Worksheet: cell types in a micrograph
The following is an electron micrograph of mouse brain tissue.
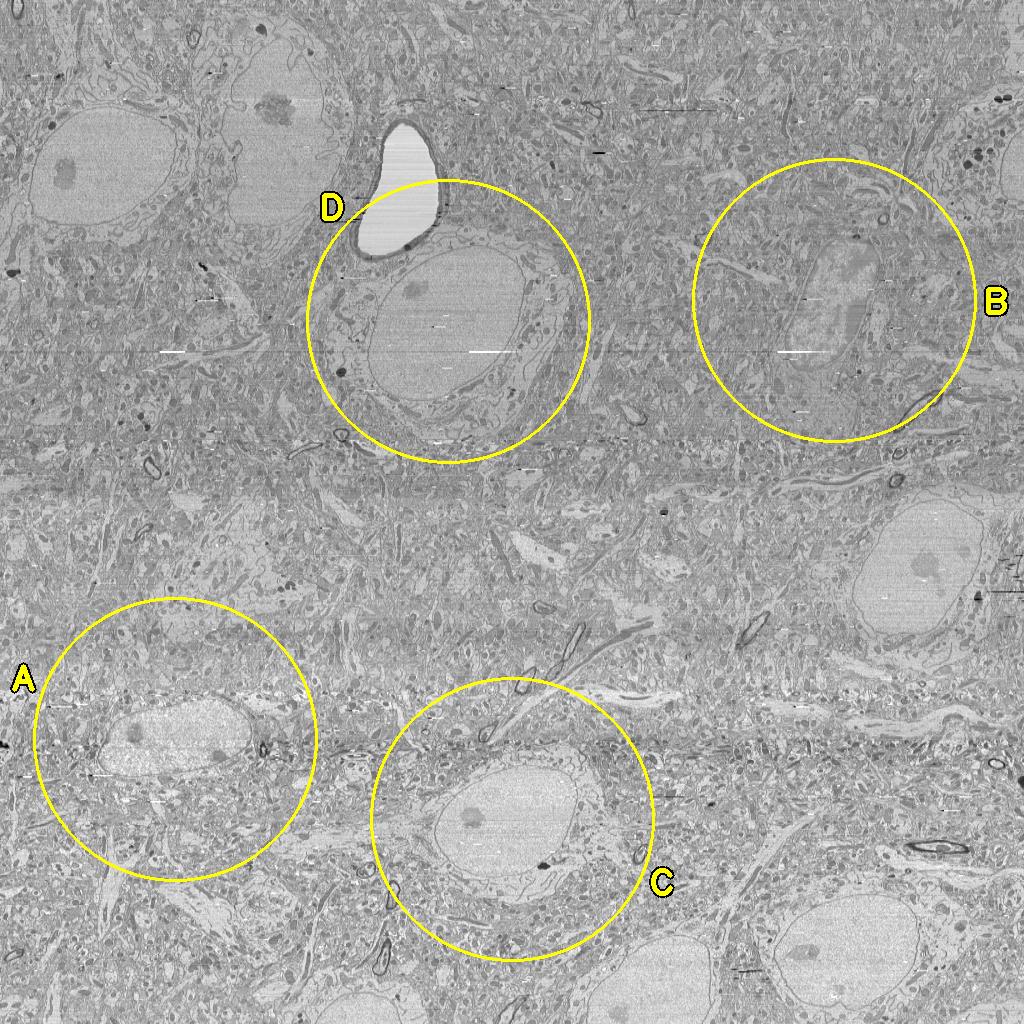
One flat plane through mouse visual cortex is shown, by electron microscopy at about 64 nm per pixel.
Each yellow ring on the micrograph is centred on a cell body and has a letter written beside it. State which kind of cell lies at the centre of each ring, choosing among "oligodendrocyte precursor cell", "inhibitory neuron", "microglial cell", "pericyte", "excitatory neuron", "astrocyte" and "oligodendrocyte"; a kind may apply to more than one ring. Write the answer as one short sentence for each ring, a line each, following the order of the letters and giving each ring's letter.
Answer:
Ring A has an astrocyte in its centre.
Ring B has an oligodendrocyte in its centre.
Ring C has an excitatory neuron in its centre.
Ring D has an excitatory neuron in its centre.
